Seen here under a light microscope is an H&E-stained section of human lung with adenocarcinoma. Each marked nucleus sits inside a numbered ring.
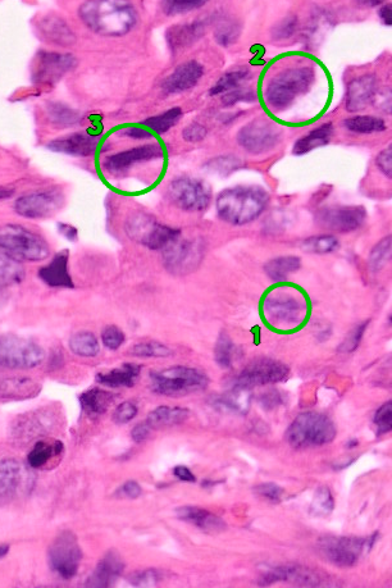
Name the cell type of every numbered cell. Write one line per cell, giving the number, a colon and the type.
1: fibroblast
2: carcinoma cell
3: carcinoma cell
